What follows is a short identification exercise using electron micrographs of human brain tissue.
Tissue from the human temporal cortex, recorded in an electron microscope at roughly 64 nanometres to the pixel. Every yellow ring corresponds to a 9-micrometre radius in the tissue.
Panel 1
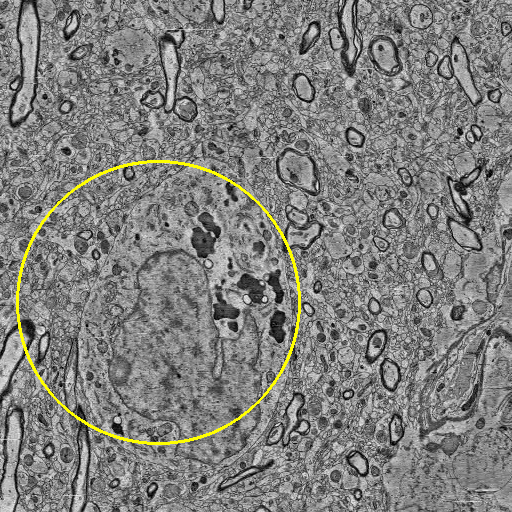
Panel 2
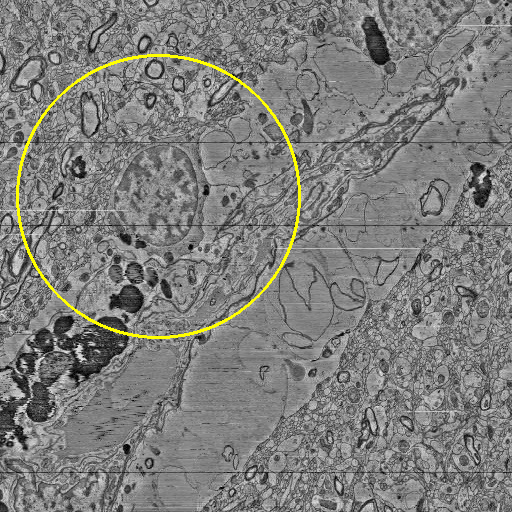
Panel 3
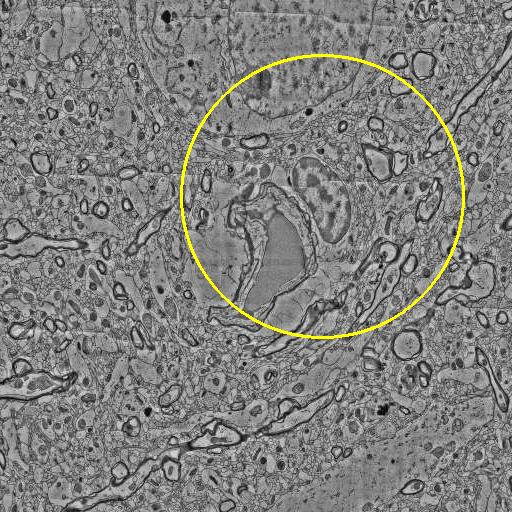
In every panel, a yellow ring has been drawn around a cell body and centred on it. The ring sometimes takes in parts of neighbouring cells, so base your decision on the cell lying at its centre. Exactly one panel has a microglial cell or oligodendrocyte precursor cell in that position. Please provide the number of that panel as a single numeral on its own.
3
